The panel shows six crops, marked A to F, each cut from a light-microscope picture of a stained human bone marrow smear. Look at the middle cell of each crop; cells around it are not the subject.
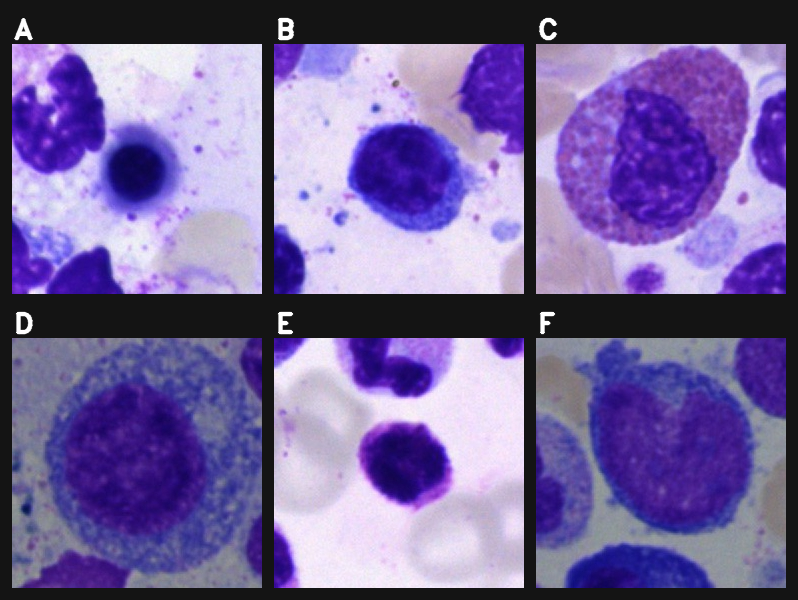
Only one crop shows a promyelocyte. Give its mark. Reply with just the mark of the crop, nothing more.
D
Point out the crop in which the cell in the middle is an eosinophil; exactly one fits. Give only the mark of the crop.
C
